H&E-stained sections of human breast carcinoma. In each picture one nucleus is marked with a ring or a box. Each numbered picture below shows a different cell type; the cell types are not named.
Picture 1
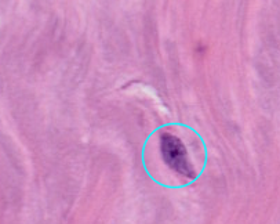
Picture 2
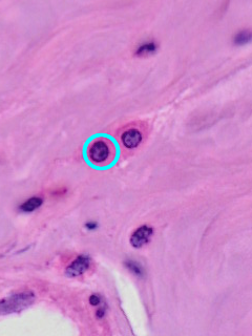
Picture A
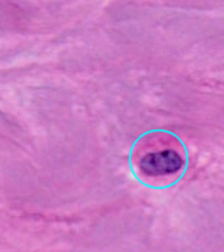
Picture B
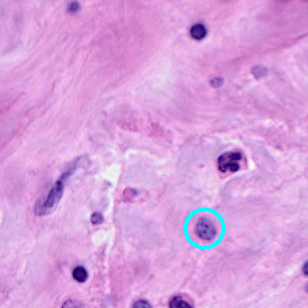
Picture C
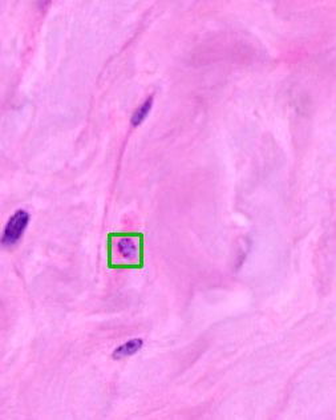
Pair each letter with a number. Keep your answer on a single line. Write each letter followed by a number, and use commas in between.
A 2, B 2, C 2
